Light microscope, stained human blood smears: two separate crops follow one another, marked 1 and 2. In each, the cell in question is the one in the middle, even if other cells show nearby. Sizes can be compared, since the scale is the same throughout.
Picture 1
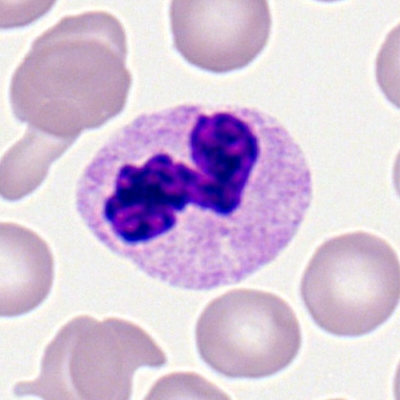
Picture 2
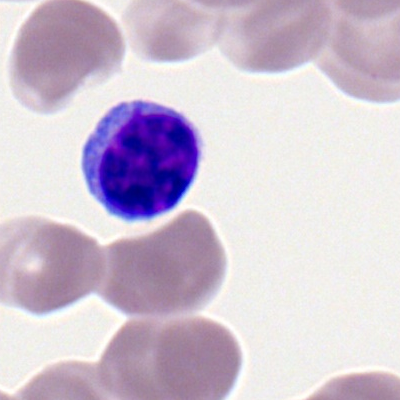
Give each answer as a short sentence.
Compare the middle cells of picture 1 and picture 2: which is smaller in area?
The cell in picture 2 is smaller; the one in picture 1 has about 2.5 times its area.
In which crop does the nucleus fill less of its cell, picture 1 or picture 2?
The nucleus fills less of the cell in picture 1 than in picture 2.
